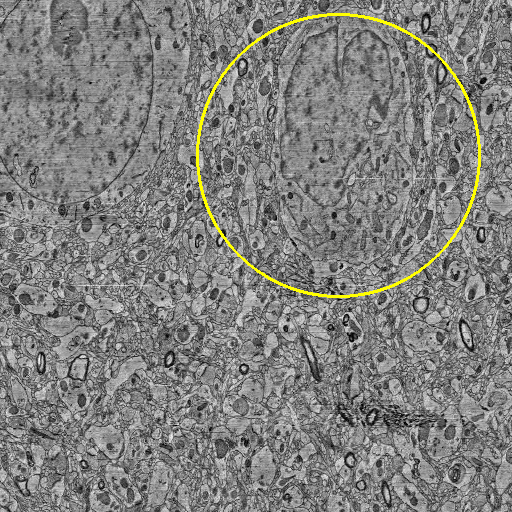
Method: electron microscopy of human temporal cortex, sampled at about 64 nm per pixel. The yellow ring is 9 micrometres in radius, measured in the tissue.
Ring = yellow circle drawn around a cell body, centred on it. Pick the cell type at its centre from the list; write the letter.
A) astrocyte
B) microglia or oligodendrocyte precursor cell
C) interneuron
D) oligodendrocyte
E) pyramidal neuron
C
